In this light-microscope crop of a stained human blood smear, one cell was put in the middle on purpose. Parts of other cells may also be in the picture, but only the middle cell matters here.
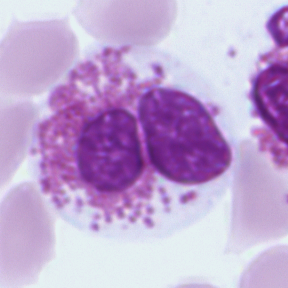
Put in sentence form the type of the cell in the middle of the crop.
In the middle of this smear crop, the cell is an eosinophil.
